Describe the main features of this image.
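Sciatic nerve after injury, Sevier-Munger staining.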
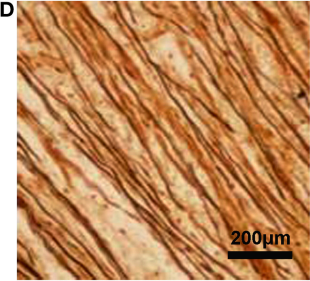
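The fibers are stained dark brown to black and lie closely side by side, following a gently wavy course. Between them the background is a paler tan-orange.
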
